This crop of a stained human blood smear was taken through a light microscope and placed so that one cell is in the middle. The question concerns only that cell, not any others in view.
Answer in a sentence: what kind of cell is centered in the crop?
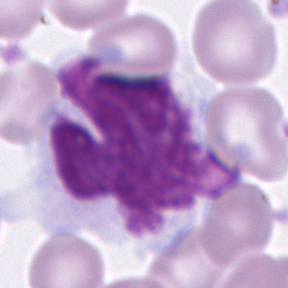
What the crop centres on is a monocyte.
